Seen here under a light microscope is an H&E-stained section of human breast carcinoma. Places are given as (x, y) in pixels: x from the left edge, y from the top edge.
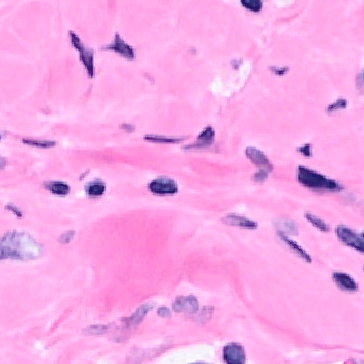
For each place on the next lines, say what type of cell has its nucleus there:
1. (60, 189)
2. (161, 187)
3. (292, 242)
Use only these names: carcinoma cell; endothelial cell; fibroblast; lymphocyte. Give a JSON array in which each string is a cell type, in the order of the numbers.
["lymphocyte", "lymphocyte", "fibroblast"]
